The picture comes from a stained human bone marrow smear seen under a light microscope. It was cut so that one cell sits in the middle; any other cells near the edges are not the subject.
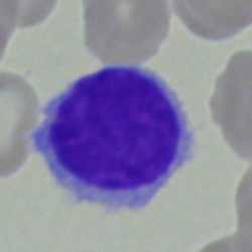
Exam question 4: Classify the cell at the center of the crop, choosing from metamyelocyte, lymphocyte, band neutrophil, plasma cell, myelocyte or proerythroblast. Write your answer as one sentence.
The central cell in this smear crop is a lymphocyte.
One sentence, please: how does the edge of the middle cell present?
The cell margin is rough and uneven, either ragged or drawn into projections.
